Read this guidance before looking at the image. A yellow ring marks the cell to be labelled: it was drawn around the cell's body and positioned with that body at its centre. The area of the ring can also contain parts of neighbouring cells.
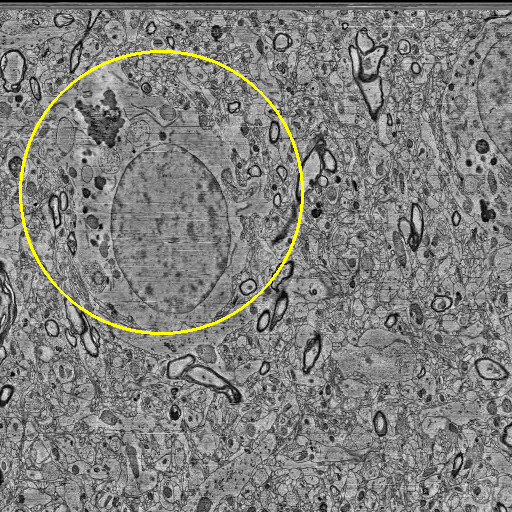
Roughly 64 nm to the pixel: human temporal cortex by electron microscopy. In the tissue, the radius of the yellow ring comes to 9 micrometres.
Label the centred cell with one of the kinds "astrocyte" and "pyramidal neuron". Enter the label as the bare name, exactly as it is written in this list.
astrocyte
